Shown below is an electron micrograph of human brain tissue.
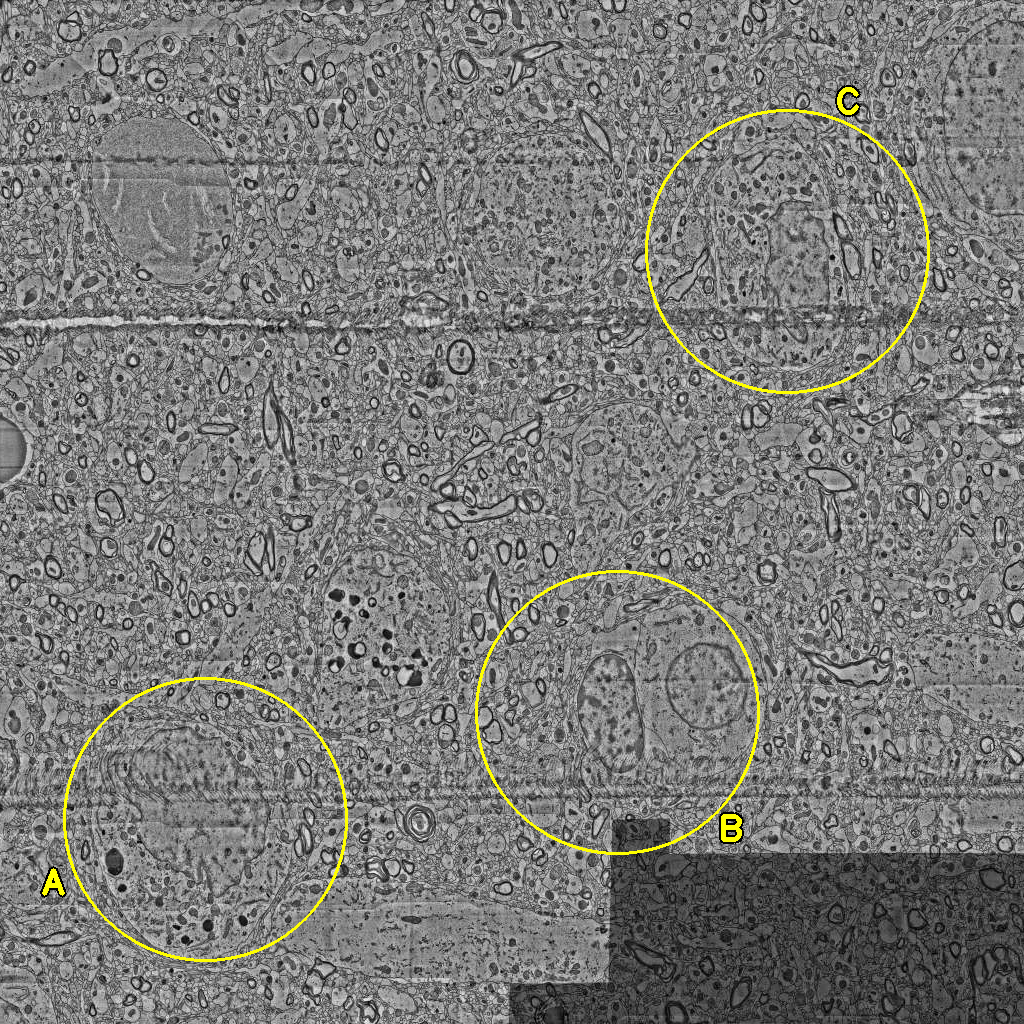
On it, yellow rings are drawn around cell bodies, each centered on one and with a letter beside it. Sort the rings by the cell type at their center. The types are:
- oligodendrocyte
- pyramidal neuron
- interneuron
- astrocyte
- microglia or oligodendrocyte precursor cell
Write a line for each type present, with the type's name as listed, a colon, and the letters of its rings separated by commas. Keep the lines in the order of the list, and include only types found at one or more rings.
interneuron: A, C
microglia or oligodendrocyte precursor cell: B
